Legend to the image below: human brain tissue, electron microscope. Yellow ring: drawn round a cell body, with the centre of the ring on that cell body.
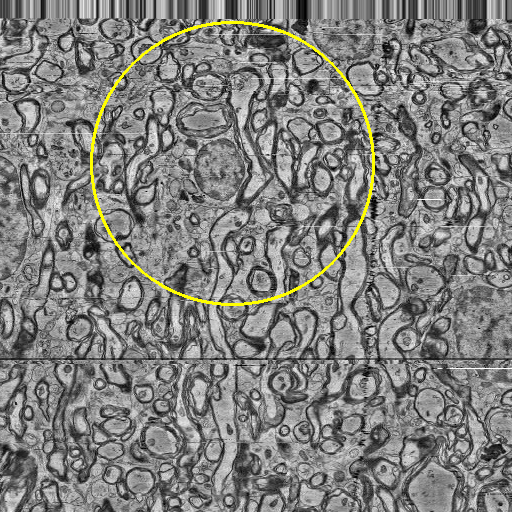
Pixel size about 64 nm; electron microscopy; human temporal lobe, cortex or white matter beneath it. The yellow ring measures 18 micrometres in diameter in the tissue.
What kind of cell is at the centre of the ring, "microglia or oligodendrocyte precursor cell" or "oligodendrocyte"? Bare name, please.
microglia or oligodendrocyte precursor cell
